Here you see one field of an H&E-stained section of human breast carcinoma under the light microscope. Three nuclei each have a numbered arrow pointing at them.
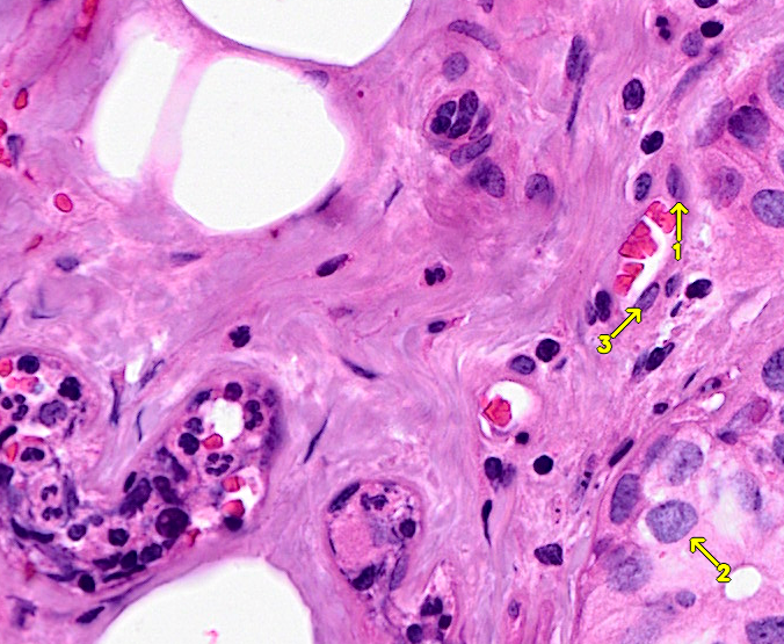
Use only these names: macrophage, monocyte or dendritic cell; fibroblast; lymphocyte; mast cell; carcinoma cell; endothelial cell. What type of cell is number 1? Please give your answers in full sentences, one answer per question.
Heads up, the cell numbered 1 is an endothelial cell.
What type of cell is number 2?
The marked cell with the number 2 is recognised as a carcinoma cell.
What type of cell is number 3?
To an endothelial cell belongs the nucleus marked 3.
